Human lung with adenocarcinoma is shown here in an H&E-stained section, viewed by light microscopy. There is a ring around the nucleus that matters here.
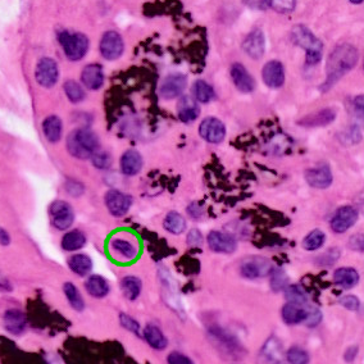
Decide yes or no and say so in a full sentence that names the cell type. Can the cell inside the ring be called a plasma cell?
No, sorry, but the cell inside the ring is a lymphocyte and not a plasma cell.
